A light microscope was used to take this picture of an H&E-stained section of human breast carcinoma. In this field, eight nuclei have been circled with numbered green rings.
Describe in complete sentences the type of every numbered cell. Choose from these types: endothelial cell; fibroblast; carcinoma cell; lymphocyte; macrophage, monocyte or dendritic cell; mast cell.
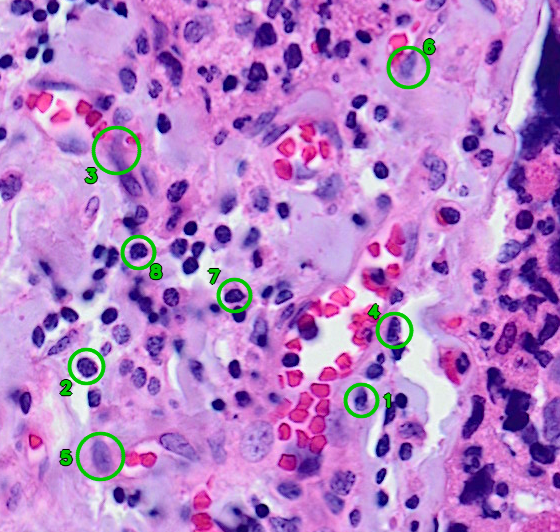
Cell 1 is a lymphocyte, cell 2 is a lymphocyte, cell 3 is an endothelial cell, cell 4 is a lymphocyte, cell 5 is an endothelial cell, cell 6 is an endothelial cell, cell 7 is a lymphocyte and cell 8 is a lymphocyte.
